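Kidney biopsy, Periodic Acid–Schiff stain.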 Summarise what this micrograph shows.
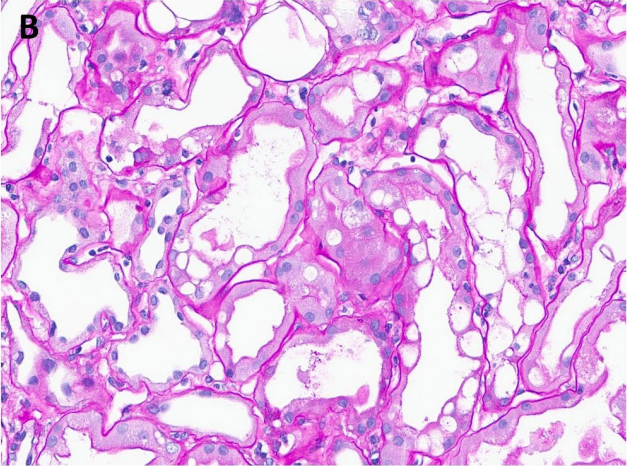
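Renal cortex with proximal tubules whose epithelial cells are filled with large, clear, round vacuoles of varying size. The tubular epithelium is flattened in many places and the tubular lumens are dilated, with the tubules outlined by magenta basement membranes and small blue nuclei along the epithelium.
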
